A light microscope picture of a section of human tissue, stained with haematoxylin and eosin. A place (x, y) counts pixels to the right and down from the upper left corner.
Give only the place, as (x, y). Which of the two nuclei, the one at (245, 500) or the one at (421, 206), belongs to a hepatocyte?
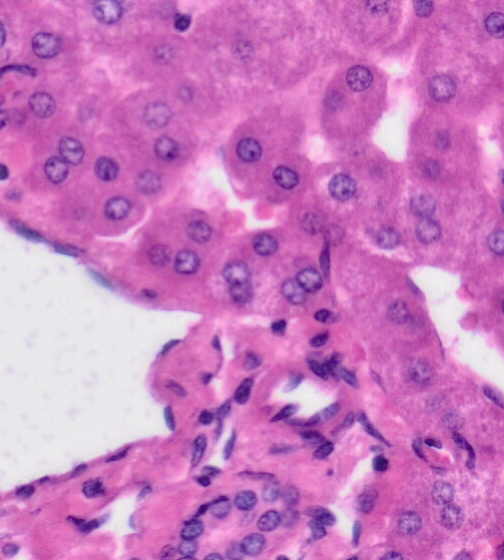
(421, 206)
